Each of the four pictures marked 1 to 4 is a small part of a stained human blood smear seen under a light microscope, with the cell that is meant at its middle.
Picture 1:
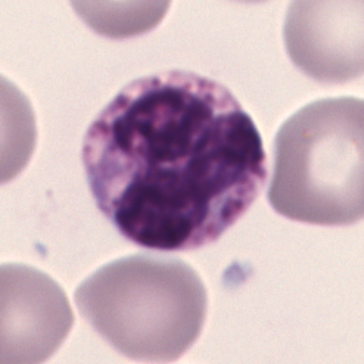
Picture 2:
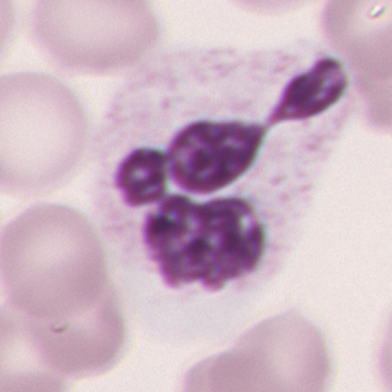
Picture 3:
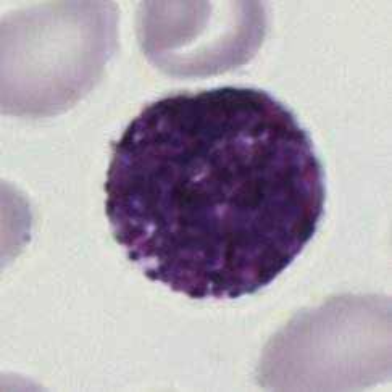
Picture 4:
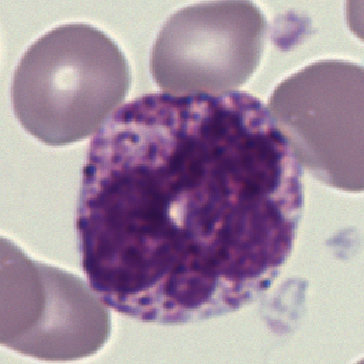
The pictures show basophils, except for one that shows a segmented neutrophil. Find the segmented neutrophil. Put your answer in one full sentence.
Picture 2 shows the segmented neutrophil.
